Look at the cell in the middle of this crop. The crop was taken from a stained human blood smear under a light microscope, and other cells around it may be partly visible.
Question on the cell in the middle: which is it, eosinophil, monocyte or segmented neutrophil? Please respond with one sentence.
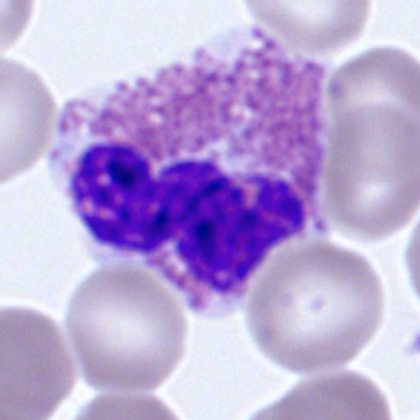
The cell in the exact centre of the crop is an eosinophil.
